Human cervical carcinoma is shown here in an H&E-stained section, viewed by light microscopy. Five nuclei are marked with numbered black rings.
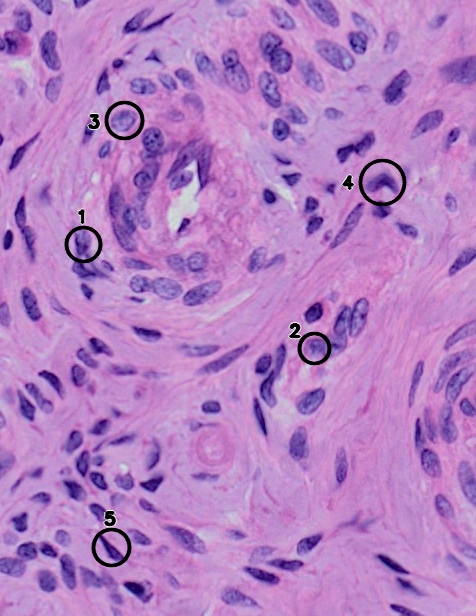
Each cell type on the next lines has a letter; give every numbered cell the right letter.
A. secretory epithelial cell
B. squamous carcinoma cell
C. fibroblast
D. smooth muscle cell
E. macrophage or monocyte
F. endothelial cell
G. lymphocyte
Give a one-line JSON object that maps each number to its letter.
{"1": "C", "2": "F", "3": "D", "4": "C", "5": "C"}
